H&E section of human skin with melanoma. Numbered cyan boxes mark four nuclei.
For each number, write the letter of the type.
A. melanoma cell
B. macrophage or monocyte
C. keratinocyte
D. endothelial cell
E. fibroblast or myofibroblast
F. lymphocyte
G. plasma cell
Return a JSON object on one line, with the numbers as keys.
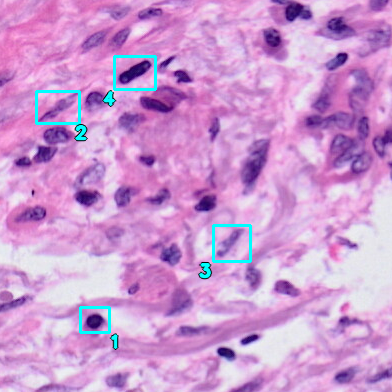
{"1": "G", "2": "E", "3": "E", "4": "F"}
